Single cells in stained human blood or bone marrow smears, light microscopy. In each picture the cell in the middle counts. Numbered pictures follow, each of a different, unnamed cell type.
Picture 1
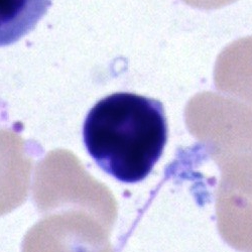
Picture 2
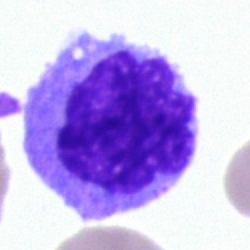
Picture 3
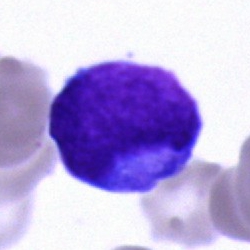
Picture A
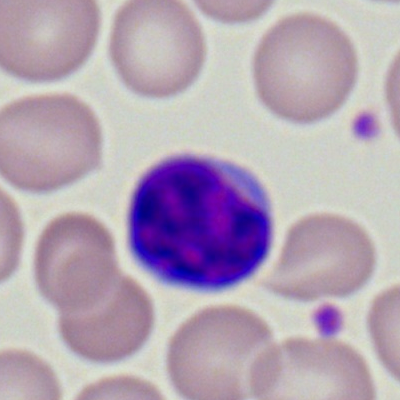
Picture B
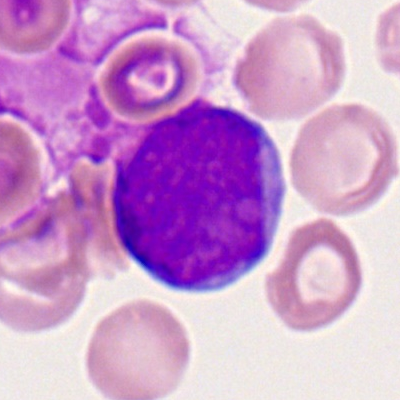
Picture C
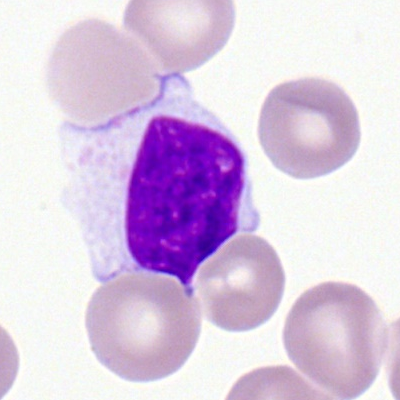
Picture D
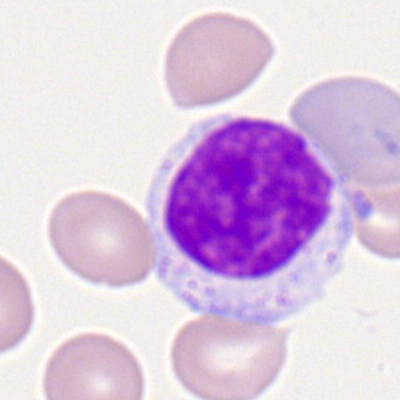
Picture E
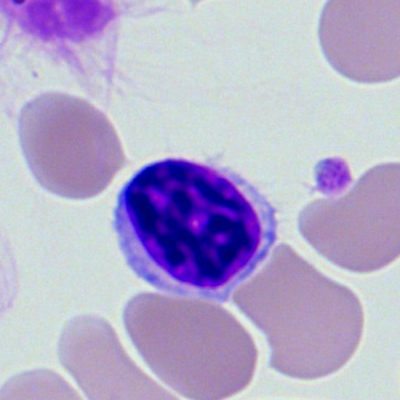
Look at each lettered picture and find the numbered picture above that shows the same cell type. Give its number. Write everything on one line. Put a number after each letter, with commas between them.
A 1, B 3, C 1, D 1, E 1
